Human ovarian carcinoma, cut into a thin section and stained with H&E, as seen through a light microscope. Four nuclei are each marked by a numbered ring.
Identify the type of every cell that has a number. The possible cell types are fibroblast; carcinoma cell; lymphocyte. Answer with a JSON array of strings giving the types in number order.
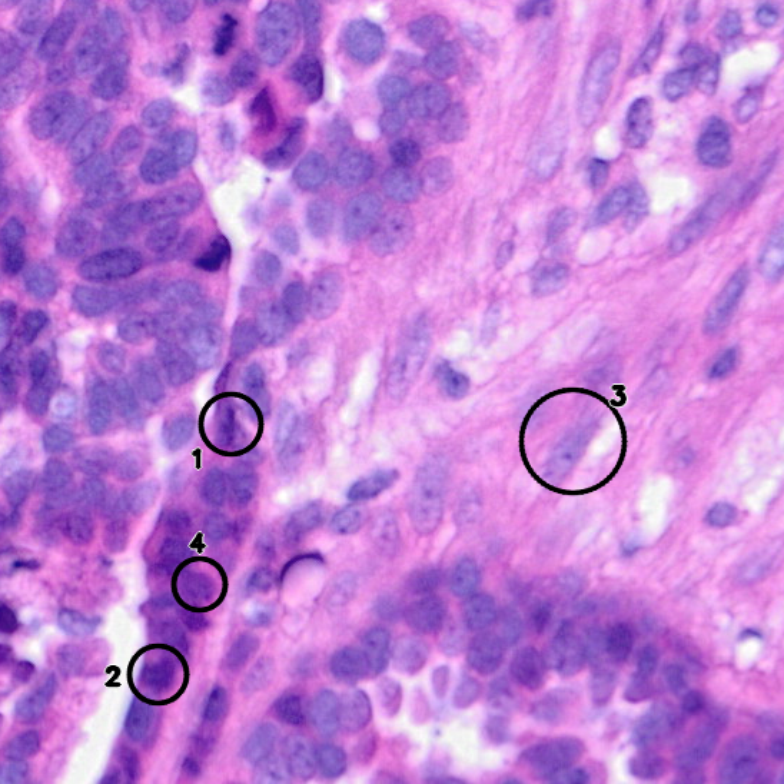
["carcinoma cell", "carcinoma cell", "fibroblast", "carcinoma cell"]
